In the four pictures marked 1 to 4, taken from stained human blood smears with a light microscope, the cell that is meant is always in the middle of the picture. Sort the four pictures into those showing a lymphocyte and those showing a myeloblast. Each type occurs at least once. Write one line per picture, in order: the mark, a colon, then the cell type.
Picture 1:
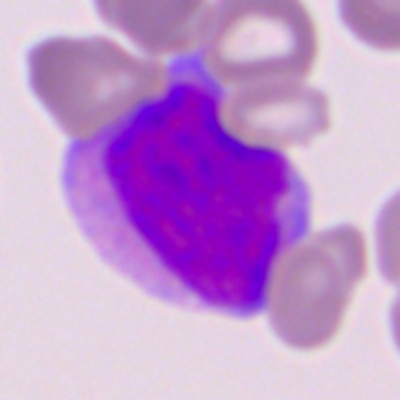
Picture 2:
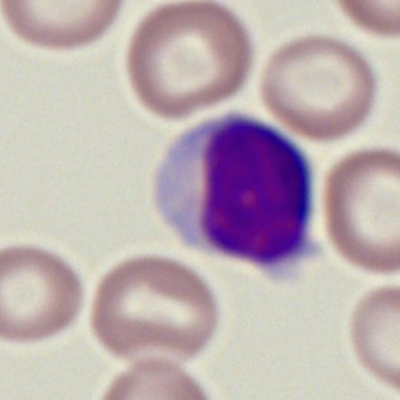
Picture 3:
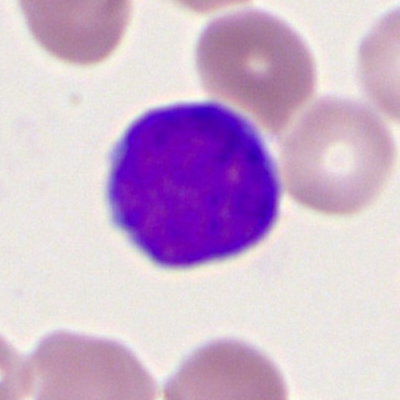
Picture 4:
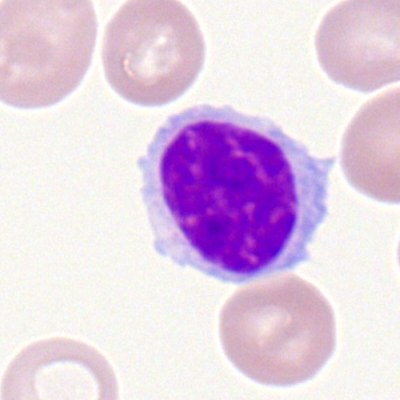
1: myeloblast
2: lymphocyte
3: myeloblast
4: lymphocyte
